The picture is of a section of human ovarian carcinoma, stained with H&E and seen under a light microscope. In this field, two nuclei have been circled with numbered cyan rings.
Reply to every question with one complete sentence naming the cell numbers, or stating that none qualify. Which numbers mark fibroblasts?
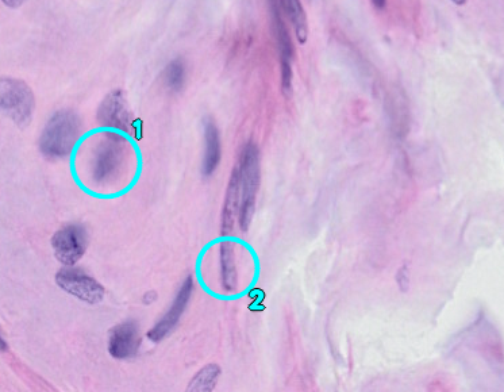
Only the cell numbered 1 qualifies as a fibroblast among the marked cells.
